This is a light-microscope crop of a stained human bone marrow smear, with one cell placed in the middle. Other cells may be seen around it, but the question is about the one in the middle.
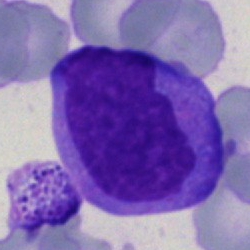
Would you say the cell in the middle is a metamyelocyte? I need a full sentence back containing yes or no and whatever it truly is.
No, the central cell in this crop is a monocyte and not a metamyelocyte.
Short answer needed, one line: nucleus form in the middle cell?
The nucleus holds together as a single compact mass, round, oval or kidney-like.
